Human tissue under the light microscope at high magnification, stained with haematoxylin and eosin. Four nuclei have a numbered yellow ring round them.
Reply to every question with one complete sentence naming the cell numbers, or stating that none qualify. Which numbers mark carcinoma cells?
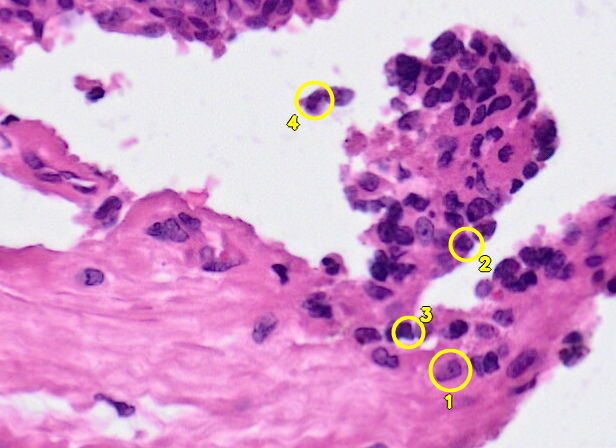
The cells which carry the numbers 2, 3 and 4 are carcinoma cells.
